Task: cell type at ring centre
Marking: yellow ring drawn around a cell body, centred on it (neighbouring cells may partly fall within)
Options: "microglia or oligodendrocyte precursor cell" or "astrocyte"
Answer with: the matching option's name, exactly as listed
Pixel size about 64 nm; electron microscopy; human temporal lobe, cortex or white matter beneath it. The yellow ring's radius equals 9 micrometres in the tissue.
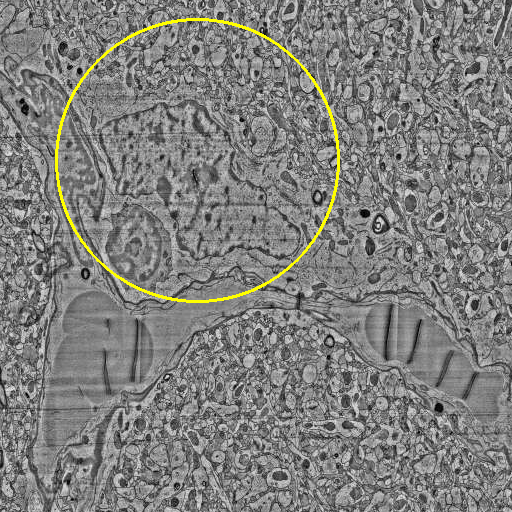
microglia or oligodendrocyte precursor cell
